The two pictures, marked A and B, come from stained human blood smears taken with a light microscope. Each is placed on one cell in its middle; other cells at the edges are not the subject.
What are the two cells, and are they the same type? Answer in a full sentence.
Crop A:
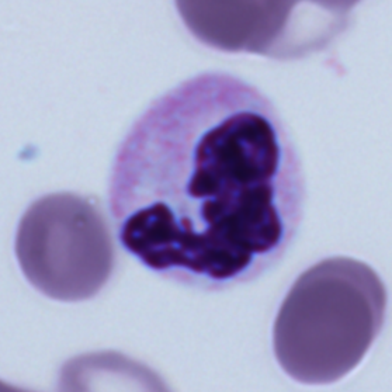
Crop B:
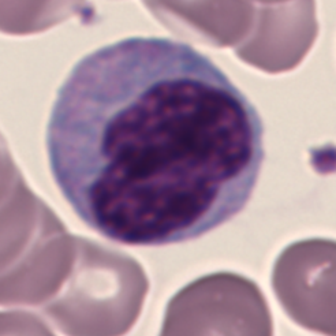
No, it is crop A that shows a segmented neutrophil, and crop B that shows a monocyte.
